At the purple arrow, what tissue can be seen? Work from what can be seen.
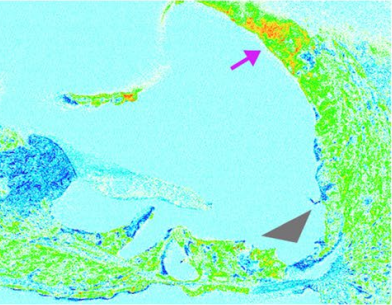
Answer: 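The arrow points to a band of tissue lining the outer wall of the fluid-filled space. This band shows orange and red colour, warmer than the surrounding tissue.
Answer: stria vascularis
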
